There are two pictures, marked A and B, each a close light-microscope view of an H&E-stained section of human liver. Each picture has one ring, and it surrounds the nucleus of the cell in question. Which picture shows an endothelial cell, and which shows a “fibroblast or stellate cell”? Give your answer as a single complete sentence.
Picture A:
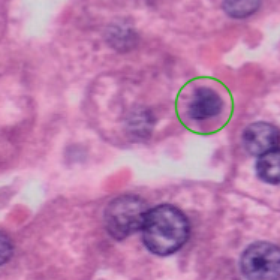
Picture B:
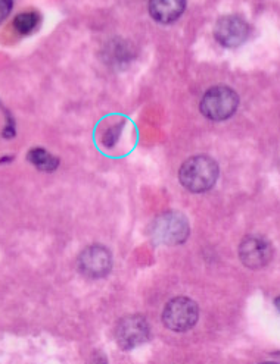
It is picture A that shows a “fibroblast or stellate cell”, and picture B that shows an endothelial cell.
